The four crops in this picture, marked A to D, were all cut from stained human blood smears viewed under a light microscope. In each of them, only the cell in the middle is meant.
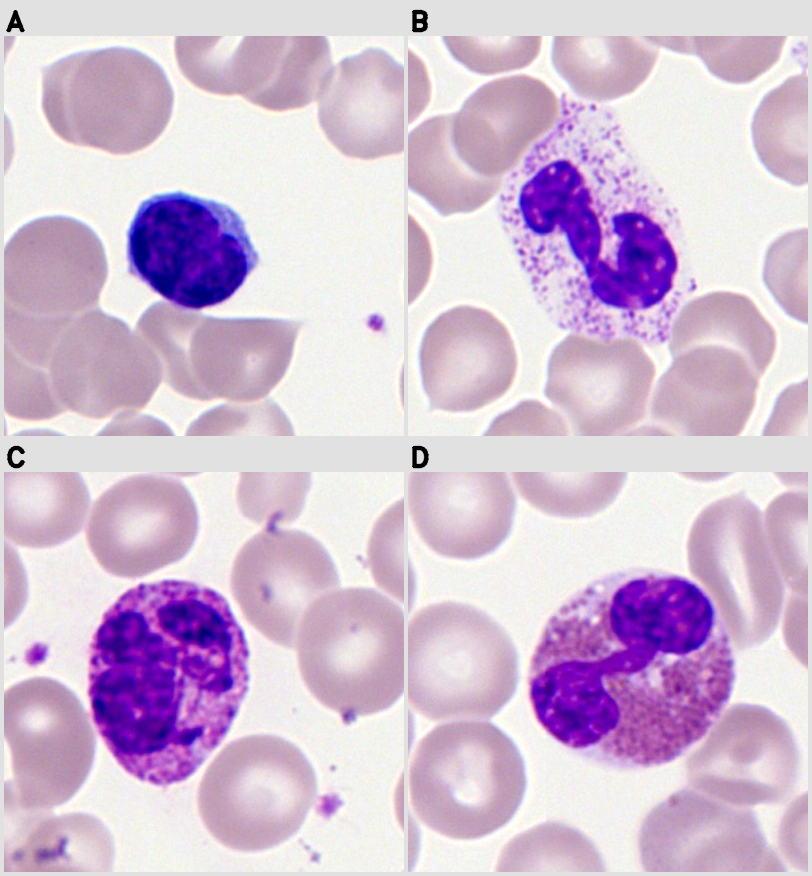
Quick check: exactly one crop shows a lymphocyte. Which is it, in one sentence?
Among all the crops given here, the one with a lymphocyte is crop A.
